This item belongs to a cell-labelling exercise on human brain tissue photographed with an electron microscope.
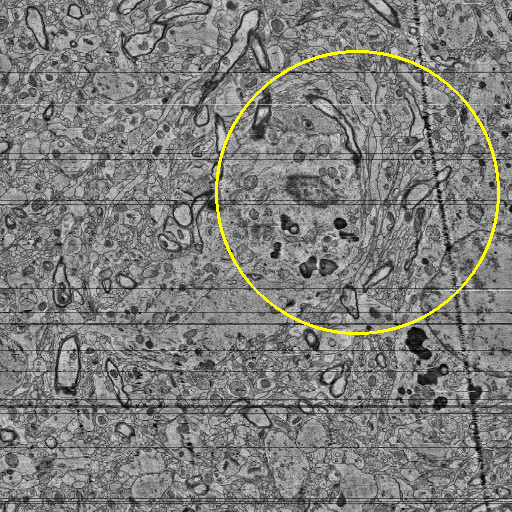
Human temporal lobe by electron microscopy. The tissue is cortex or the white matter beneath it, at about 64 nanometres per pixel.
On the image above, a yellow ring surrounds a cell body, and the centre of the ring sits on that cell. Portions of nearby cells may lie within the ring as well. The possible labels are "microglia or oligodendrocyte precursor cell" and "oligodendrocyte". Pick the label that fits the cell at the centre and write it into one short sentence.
This cell should be labelled as an oligodendrocyte.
